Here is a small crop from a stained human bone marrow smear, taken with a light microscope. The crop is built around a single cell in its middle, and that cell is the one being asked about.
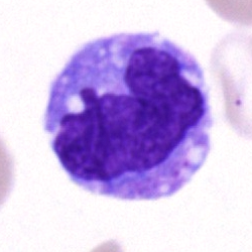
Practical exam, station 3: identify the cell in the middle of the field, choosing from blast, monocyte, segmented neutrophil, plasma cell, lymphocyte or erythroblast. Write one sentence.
Of the cells in this crop, the central one is a monocyte.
